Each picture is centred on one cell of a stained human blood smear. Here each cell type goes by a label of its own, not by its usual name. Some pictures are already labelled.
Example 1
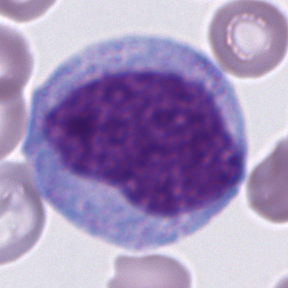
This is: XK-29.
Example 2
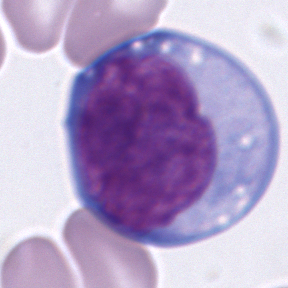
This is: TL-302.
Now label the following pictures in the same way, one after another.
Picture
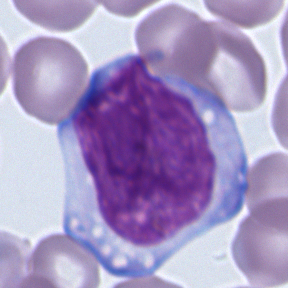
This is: TL-302.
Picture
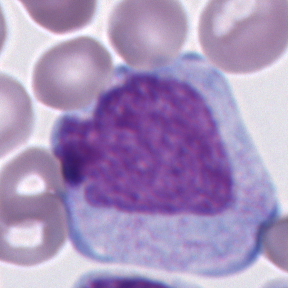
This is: XK-29.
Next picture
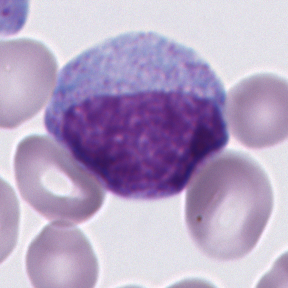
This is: XK-29.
